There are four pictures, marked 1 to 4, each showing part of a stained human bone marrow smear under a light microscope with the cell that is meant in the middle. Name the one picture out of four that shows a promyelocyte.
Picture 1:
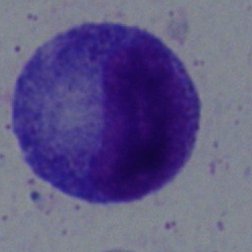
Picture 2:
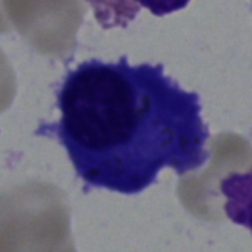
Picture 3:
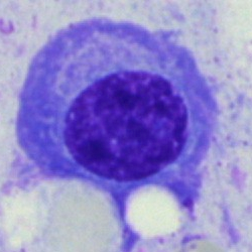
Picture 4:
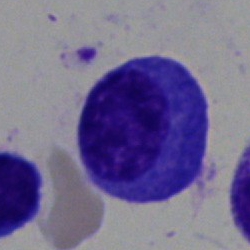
1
